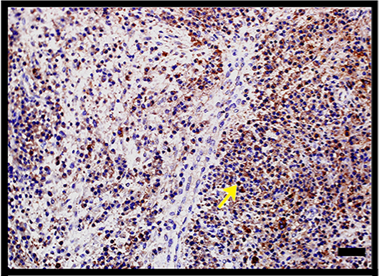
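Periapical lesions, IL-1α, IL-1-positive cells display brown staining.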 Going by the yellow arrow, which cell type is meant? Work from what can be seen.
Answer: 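Dense sheets of small round cells with dark round nuclei. Many of these small cells have brown cytoplasm.
Conclusion: inflammatory cells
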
